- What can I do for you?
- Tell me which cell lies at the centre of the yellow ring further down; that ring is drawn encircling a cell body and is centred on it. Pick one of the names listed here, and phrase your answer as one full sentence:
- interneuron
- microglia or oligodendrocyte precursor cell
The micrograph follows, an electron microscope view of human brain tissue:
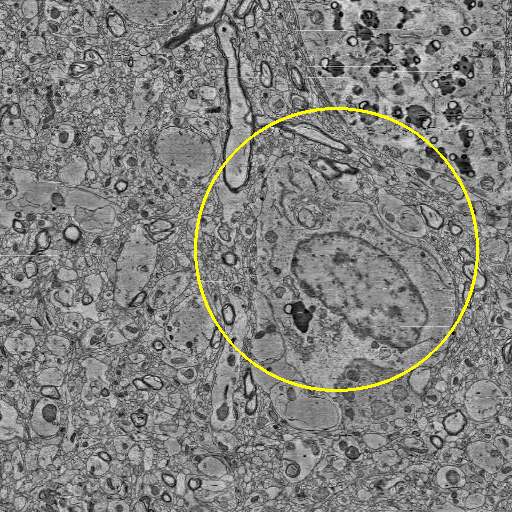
The cell whose body lies at the centre of the yellow ring is an interneuron.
